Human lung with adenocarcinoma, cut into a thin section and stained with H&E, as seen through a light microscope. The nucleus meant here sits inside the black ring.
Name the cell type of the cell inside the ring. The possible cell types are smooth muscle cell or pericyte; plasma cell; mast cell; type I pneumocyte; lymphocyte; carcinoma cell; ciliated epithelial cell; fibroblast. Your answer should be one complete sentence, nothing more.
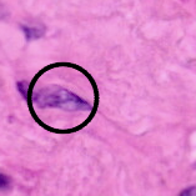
In the tissue under study, the cell inside the ring is a fibroblast.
